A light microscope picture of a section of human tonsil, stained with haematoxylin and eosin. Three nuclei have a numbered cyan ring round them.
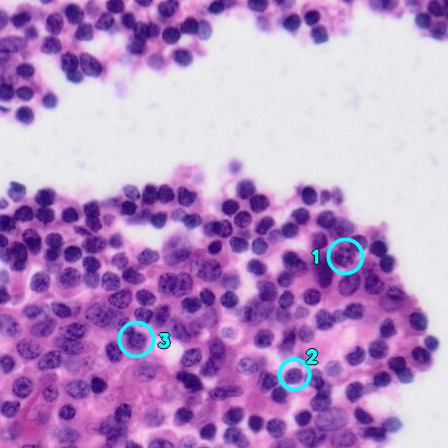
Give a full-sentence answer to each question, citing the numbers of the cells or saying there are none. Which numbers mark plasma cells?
The cells marked by the numbers 1 and 3 are plasma cells.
